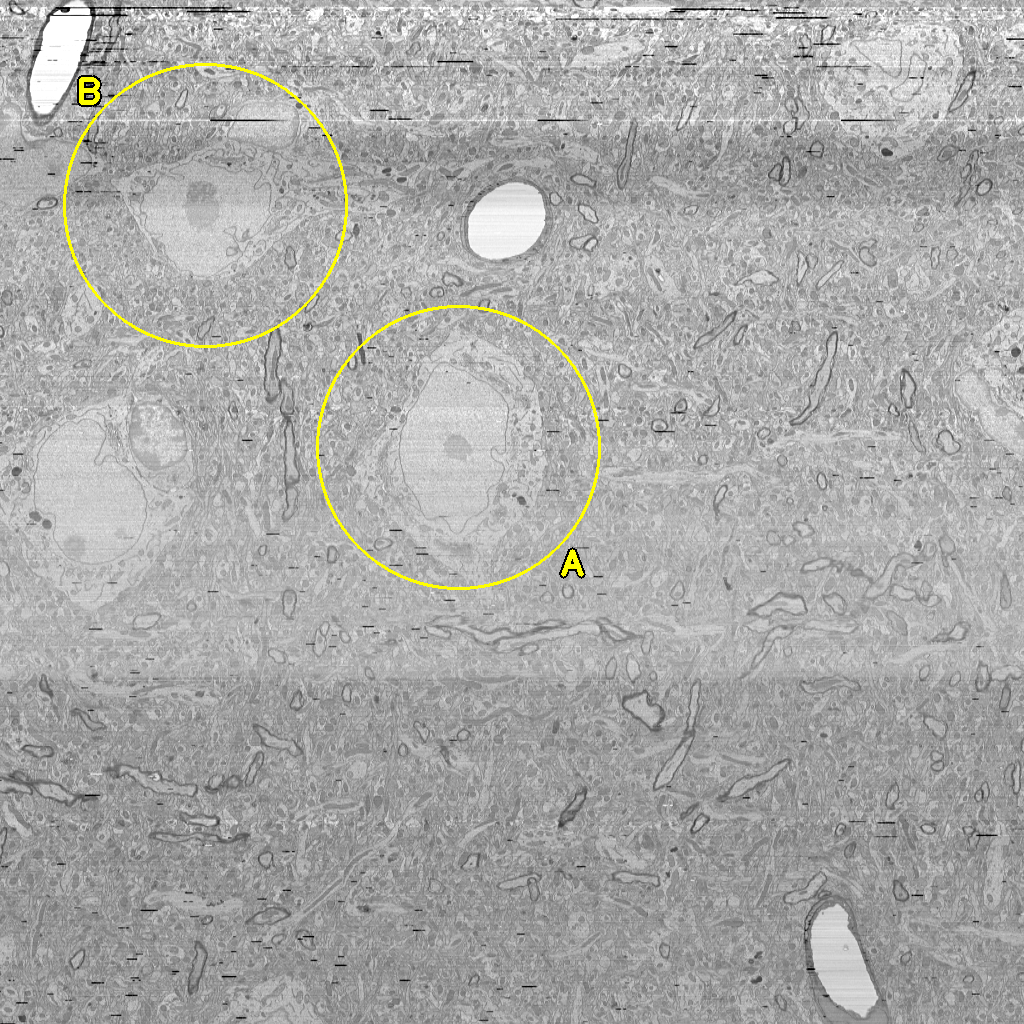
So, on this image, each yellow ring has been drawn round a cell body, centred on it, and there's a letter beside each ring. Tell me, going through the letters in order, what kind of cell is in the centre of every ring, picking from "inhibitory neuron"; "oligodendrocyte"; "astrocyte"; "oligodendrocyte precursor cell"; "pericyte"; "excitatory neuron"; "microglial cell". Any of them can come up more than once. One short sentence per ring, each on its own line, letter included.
Ring A has been drawn round an excitatory neuron.
Ring B has been drawn round an inhibitory neuron.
